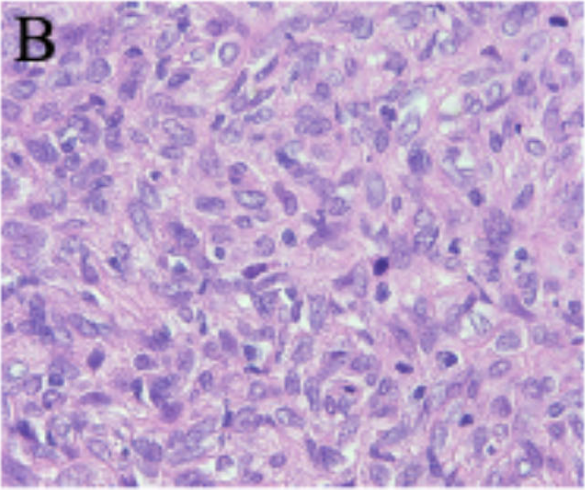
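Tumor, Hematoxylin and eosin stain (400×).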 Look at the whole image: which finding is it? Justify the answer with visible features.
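Nuclei vary markedly in size and shape. Some nuclei are dark and hyperchromatic. Nuclei are oval to spindle-shaped and crowded. The answer: cellular atypia.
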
